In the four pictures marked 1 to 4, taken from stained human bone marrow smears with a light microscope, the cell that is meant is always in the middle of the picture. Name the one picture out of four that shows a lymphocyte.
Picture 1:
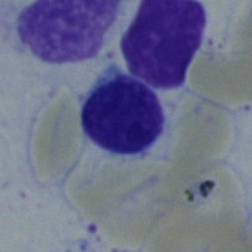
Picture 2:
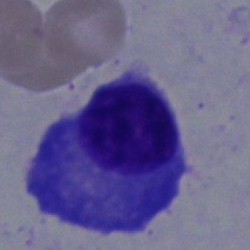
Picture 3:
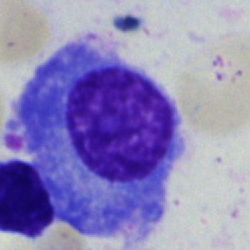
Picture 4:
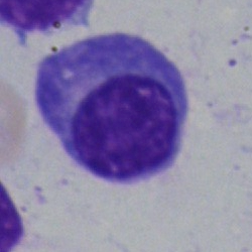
1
